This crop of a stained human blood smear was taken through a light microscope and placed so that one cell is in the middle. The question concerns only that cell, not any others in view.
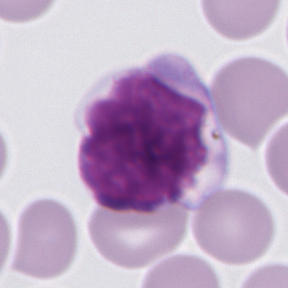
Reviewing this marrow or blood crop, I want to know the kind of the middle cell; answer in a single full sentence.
The cell of interest, located centrally, is a large granular lymphocyte.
